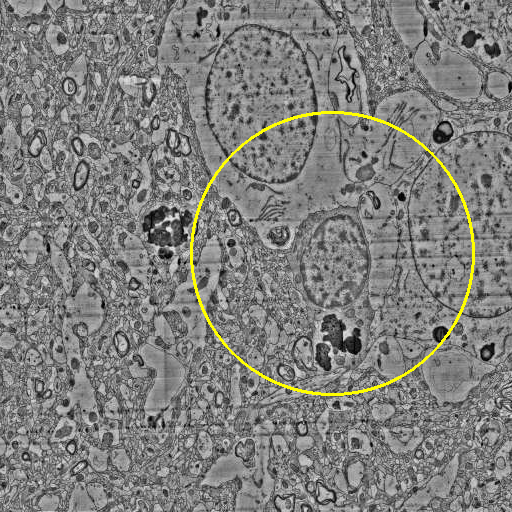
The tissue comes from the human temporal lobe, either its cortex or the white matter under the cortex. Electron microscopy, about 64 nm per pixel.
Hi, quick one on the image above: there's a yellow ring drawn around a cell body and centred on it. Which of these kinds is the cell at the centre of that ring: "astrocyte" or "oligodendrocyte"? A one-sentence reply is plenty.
The cell at the centre of the ring is an oligodendrocyte.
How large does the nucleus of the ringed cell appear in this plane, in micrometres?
Roughly 6 micrometres by 5 micrometres, in this plane.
